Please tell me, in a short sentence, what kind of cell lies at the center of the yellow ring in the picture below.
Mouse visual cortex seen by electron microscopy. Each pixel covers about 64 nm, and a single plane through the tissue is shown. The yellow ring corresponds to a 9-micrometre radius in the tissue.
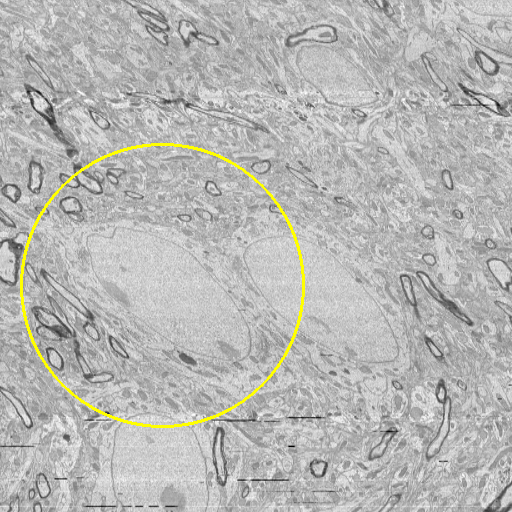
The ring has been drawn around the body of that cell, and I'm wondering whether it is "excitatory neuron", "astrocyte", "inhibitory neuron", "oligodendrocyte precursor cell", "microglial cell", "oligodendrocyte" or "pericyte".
The cell at the center of the ring is an excitatory neuron.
